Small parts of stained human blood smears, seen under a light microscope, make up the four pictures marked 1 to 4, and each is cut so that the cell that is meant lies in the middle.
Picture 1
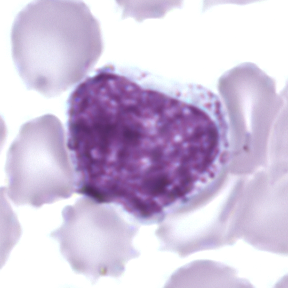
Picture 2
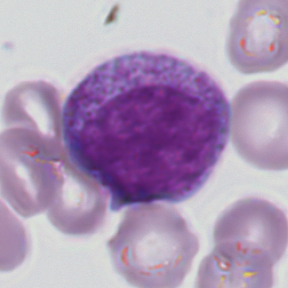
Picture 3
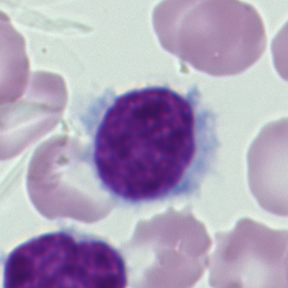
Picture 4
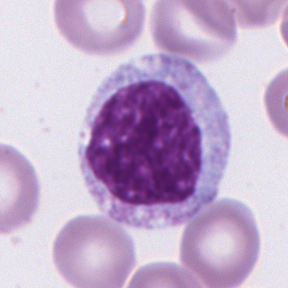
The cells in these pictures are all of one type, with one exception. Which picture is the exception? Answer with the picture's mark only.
3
